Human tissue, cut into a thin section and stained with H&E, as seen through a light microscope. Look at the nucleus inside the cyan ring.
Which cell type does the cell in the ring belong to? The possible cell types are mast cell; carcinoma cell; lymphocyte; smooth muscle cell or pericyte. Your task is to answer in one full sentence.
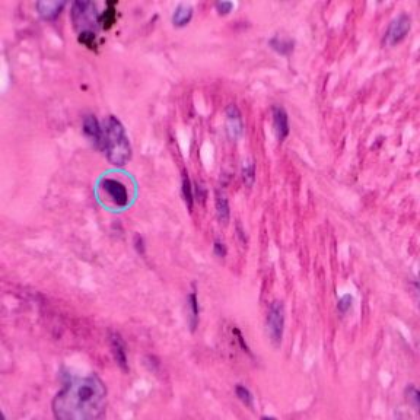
In terms of identity, the cell in the ring is a mast cell.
